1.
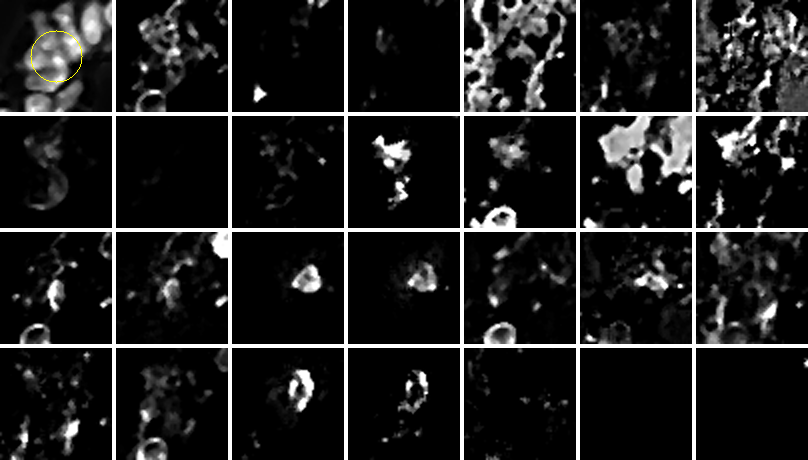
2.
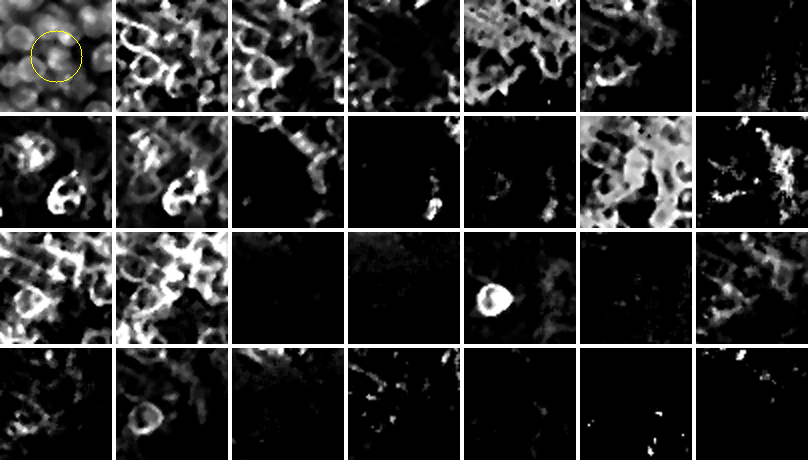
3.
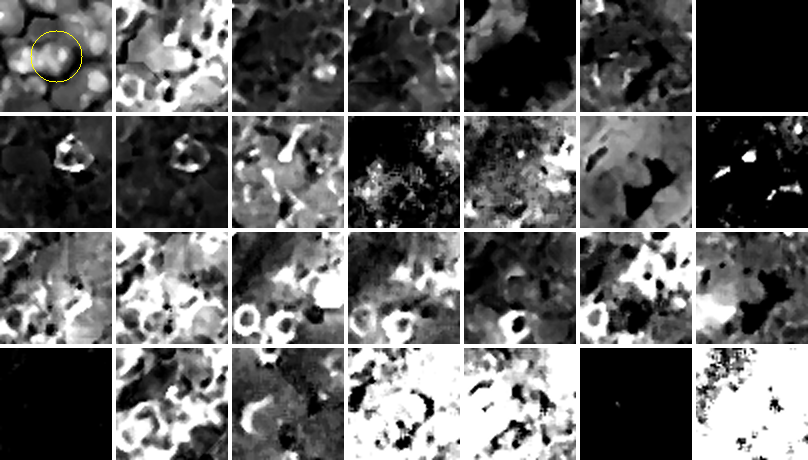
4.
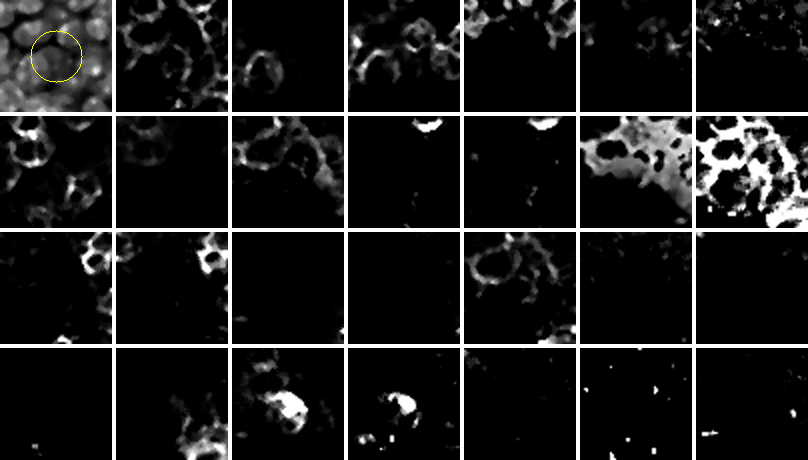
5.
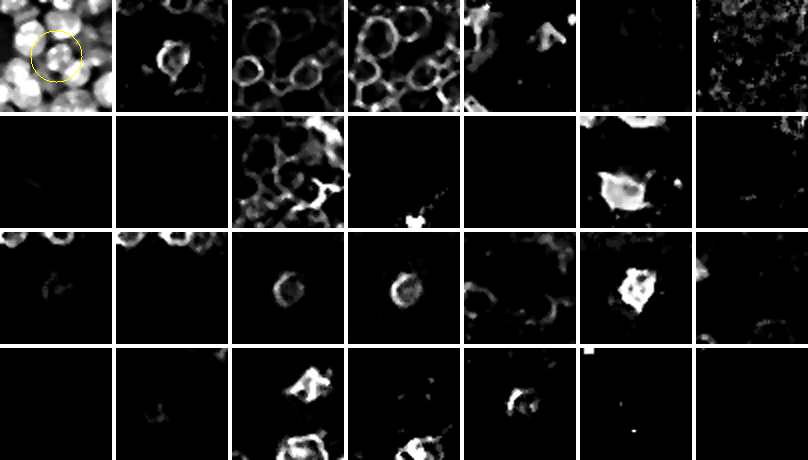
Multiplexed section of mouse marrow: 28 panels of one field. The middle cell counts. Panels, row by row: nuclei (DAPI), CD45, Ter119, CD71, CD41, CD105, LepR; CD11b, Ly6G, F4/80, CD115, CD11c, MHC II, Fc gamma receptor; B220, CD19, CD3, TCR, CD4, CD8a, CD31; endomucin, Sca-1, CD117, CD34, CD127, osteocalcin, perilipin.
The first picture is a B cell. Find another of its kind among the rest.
Picture 2.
